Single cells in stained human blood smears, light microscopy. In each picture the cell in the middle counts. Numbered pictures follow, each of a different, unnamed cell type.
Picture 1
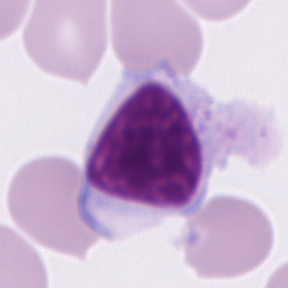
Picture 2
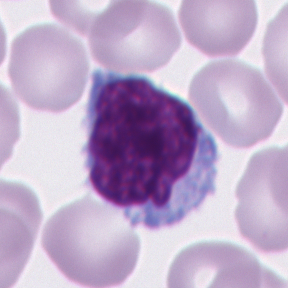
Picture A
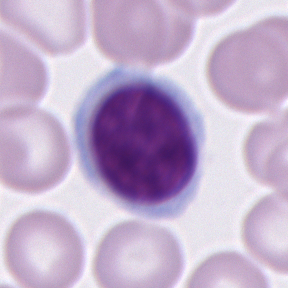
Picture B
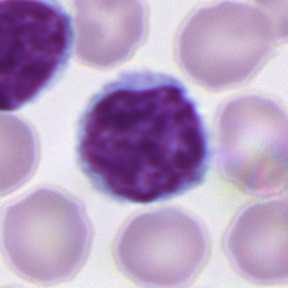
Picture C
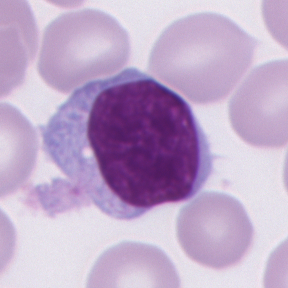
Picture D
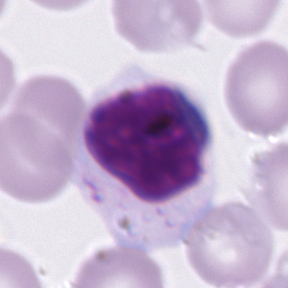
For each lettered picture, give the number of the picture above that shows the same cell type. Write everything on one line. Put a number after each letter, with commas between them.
A 2, B 2, C 2, D 1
